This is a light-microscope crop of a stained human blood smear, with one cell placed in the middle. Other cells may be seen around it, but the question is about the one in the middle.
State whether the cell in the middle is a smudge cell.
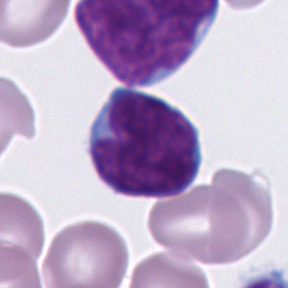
no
